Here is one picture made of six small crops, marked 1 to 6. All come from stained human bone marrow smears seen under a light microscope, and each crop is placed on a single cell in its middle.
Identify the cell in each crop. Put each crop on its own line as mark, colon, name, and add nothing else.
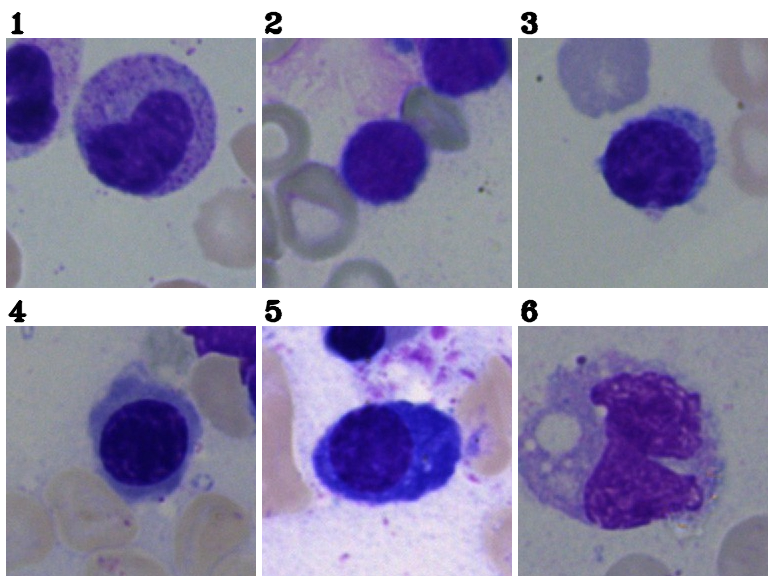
1: metamyelocyte
2: lymphocyte
3: lymphocyte
4: erythroblast
5: plasma cell
6: monocyte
